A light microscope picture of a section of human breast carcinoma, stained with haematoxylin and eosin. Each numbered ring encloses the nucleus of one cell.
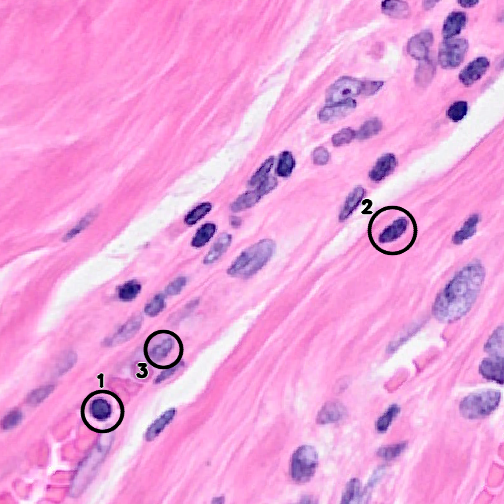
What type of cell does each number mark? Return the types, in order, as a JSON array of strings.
["lymphocyte", "lymphocyte", "endothelial cell"]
